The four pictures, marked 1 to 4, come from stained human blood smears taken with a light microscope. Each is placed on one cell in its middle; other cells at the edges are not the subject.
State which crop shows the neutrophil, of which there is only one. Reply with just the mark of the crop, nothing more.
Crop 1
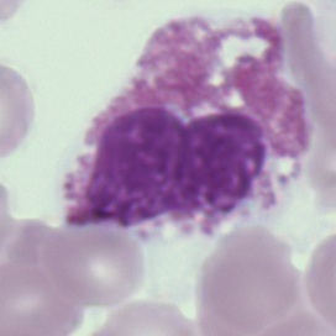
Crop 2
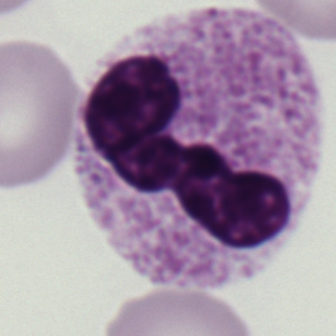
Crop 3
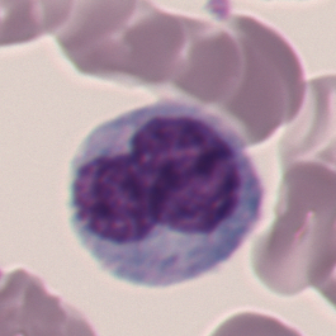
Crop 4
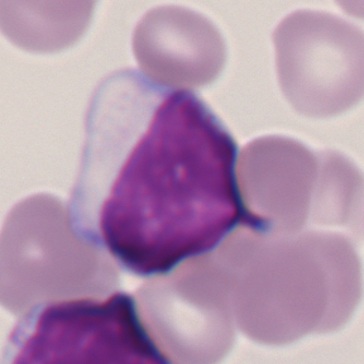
2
